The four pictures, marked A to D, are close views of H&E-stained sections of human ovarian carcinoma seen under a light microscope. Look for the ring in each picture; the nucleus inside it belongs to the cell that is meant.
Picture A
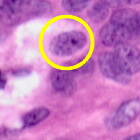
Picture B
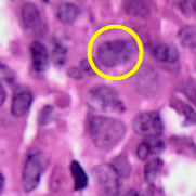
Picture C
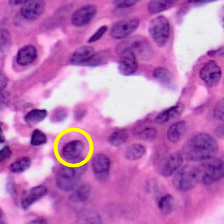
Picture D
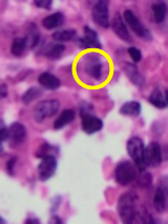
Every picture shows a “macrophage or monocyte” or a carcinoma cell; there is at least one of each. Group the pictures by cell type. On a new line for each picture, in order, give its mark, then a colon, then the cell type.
A: macrophage or monocyte
B: carcinoma cell
C: macrophage or monocyte
D: macrophage or monocyte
